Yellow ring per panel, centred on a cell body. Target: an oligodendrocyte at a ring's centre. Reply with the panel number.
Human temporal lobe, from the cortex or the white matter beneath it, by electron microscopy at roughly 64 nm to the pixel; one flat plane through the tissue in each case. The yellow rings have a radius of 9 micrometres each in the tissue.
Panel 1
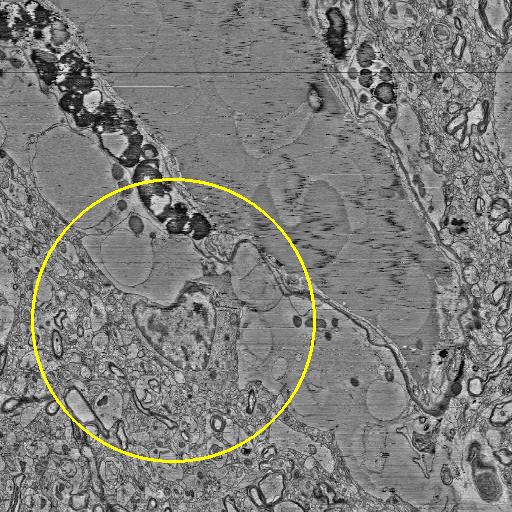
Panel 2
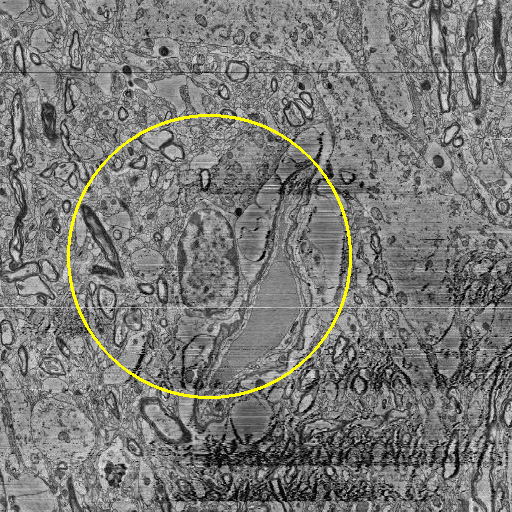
1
